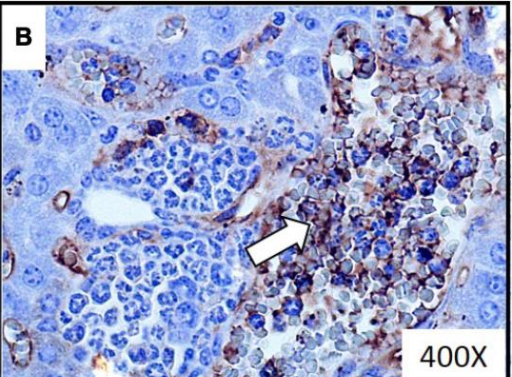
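This is liver tissue in which a focus of extramedullary hematopoiesis sits among the hepatocytes. The hepatocytes are large polygonal cells with pale blue cytoplasm and round nuclei. Many red blood cells are mixed in among these small cells on one side of the focus, and several of the cells there carry brown stain. Brown stain also outlines some of the narrow sinusoidal spaces at the edge of the field.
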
